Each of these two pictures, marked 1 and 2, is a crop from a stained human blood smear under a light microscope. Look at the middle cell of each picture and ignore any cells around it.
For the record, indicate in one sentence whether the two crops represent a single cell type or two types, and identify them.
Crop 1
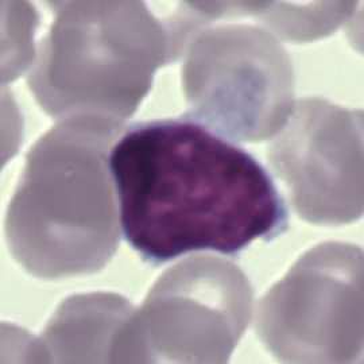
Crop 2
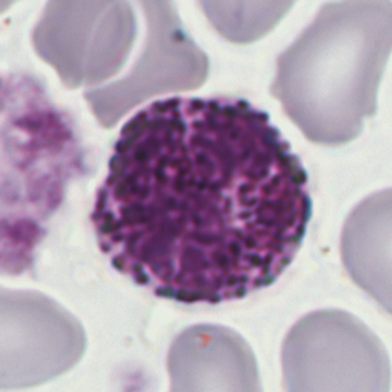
No, shown in crop 1 is a typical lymphocyte, and shown in crop 2 is a basophil.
